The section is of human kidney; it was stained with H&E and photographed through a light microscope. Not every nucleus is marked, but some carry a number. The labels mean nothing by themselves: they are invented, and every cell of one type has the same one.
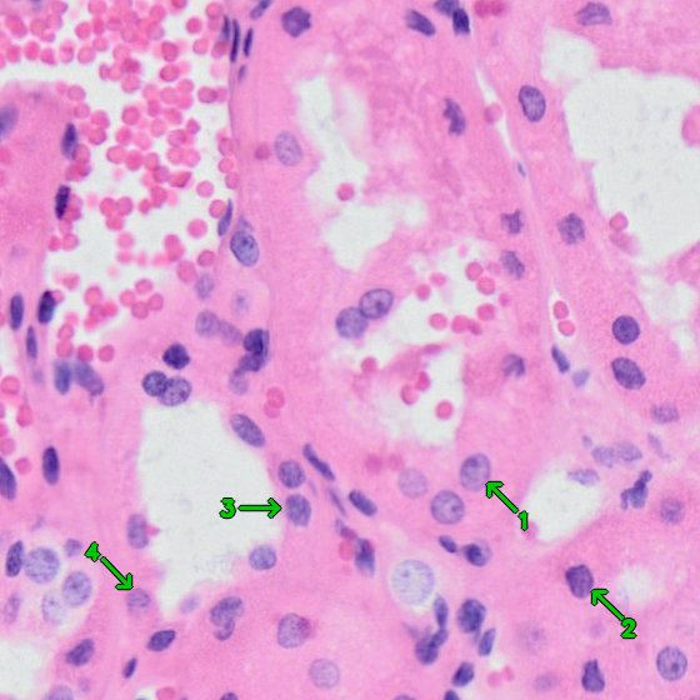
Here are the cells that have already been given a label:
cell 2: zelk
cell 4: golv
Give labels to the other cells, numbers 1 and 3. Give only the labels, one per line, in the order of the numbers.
zelk
golv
